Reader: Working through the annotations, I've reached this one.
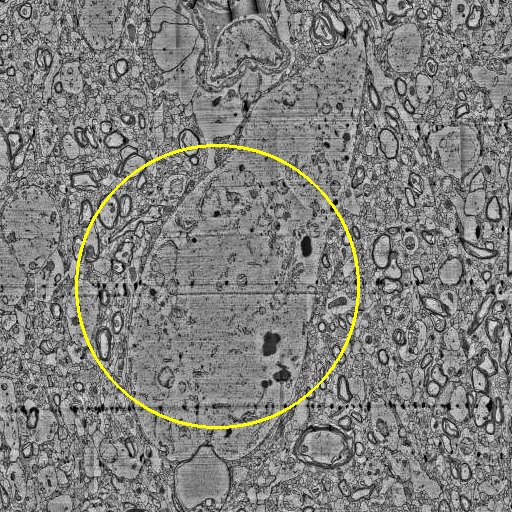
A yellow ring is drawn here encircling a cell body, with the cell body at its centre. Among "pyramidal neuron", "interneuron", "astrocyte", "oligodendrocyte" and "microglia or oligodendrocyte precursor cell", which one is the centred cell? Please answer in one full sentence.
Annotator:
The cell body at the centre of the yellow ring in this image belongs to a pyramidal neuron.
